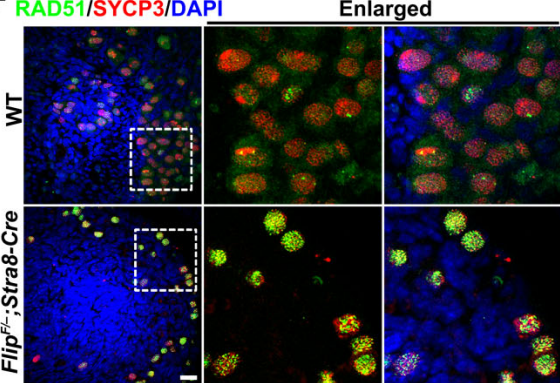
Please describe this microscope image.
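Ovary section with a dense field of small blue somatic nuclei and scattered larger round germ cell nuclei stained red. In the upper image the red nuclei are numerous with little green, while in the lower image fewer red nuclei are seen and most carry dense green foci.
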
